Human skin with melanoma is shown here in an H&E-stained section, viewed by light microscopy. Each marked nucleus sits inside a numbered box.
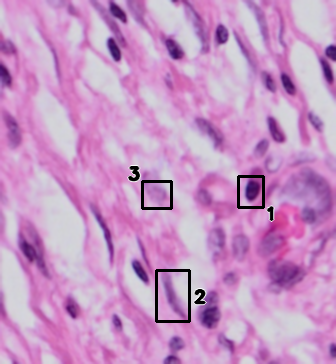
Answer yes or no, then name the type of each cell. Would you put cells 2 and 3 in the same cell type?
Yes, both of the numbered cells concerned, 2 and 3, are fibroblasts or myofibroblasts.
